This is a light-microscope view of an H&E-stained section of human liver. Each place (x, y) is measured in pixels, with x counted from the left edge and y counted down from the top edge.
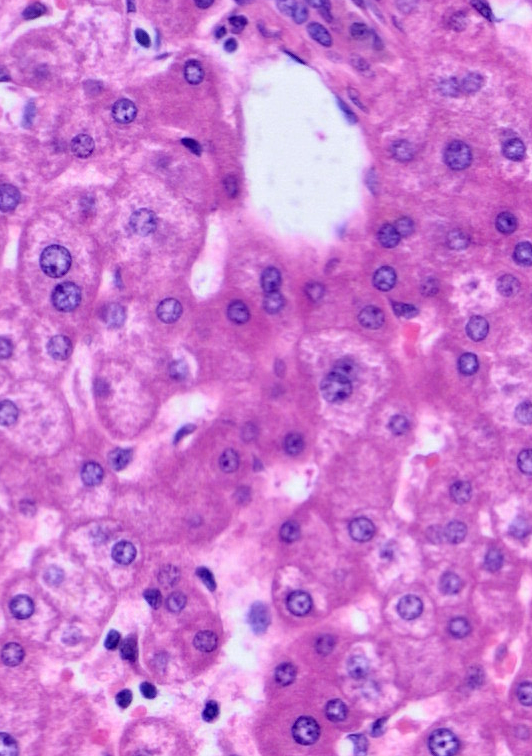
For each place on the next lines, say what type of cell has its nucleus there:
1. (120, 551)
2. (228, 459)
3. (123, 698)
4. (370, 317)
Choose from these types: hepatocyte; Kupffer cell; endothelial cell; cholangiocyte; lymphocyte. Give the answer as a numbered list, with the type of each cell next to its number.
1. hepatocyte
2. hepatocyte
3. lymphocyte
4. hepatocyte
